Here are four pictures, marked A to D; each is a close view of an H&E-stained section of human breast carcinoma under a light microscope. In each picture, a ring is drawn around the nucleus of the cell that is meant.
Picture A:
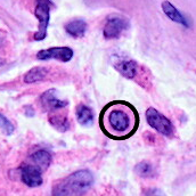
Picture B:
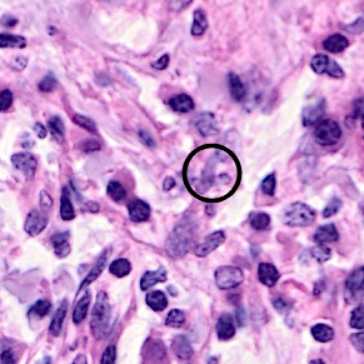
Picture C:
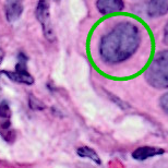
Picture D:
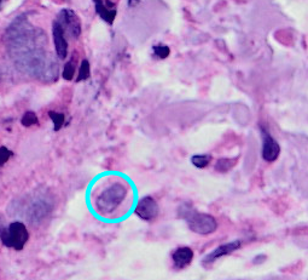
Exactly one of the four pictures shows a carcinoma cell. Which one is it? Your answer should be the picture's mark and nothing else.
C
